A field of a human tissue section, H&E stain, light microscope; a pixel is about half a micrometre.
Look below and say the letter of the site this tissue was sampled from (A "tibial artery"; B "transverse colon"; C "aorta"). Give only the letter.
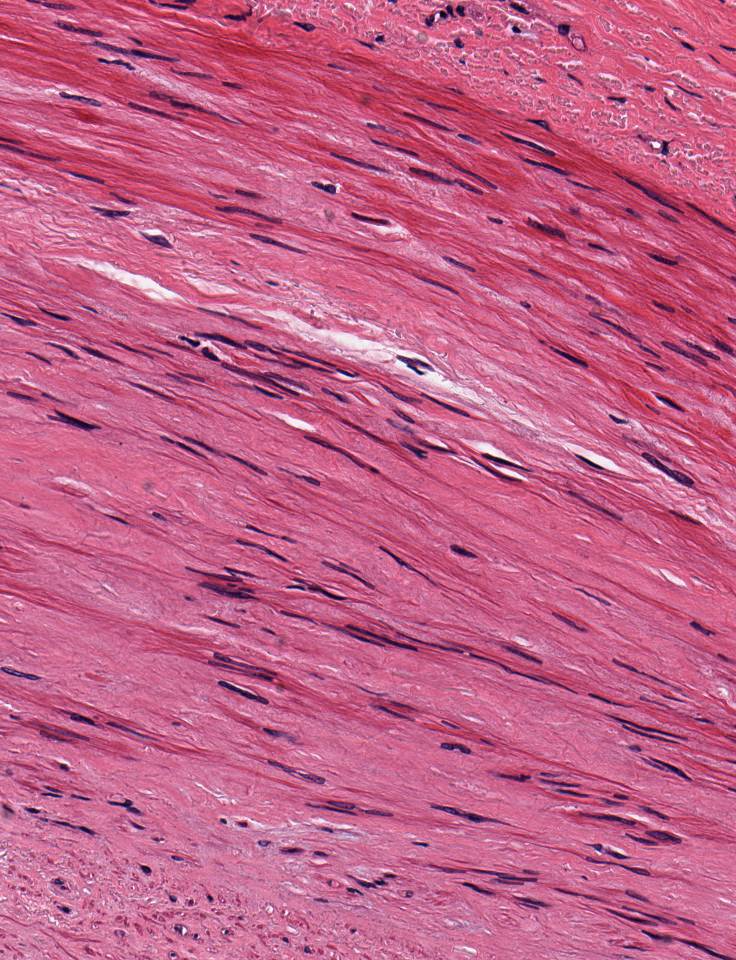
A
